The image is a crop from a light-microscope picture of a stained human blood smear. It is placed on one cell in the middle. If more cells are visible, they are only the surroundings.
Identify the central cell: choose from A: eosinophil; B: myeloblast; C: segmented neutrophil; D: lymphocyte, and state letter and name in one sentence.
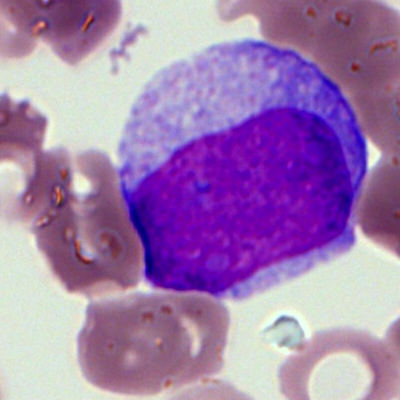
The cell occupying the centre is a myeloblast; option B is thus the correct choice.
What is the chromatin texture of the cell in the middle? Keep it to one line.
Check the chromatin: it is fine and not coarsely clumped.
